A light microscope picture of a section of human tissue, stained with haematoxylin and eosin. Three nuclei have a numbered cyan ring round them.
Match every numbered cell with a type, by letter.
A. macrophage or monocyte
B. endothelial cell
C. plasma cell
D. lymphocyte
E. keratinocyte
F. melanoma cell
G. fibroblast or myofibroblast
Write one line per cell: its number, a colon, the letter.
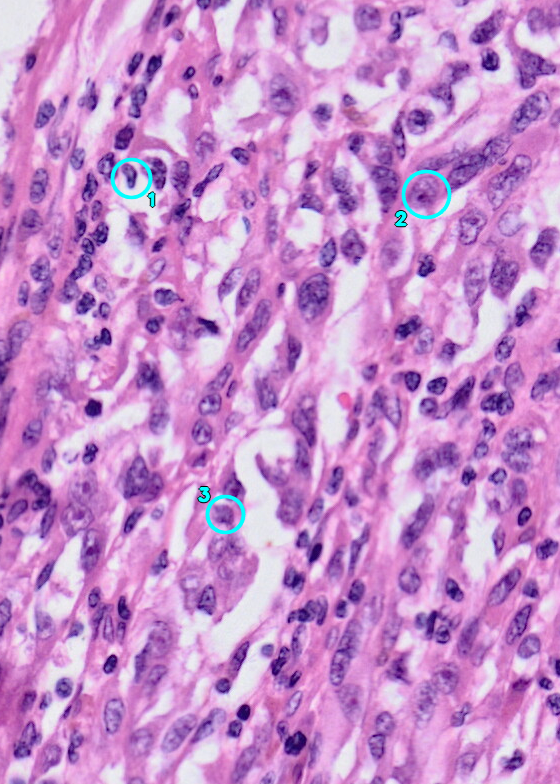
1: D
2: F
3: F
